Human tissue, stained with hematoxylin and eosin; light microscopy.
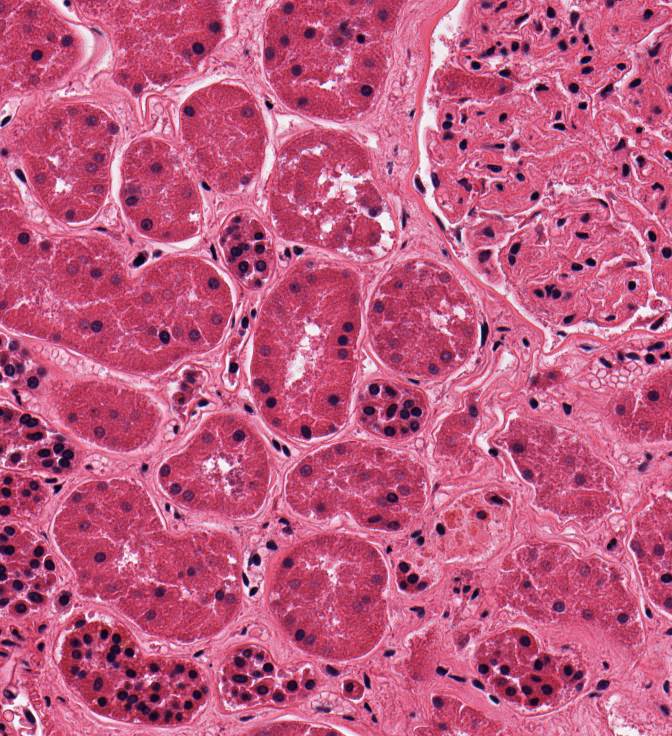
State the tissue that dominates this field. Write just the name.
cortical labyrinth of the kidney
